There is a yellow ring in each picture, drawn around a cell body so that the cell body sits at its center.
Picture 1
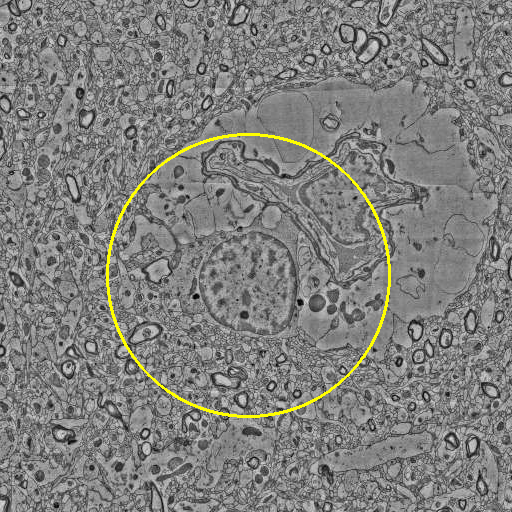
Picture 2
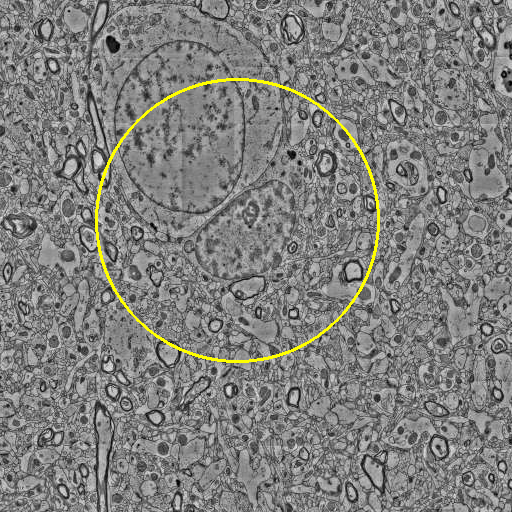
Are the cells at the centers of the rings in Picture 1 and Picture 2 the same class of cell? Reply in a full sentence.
Yes, the two cells are the same class of cell.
